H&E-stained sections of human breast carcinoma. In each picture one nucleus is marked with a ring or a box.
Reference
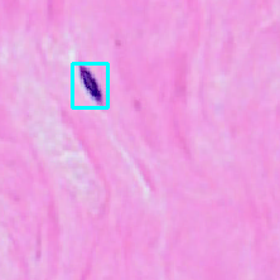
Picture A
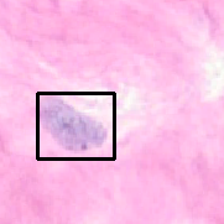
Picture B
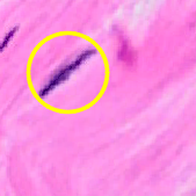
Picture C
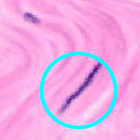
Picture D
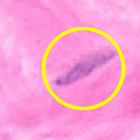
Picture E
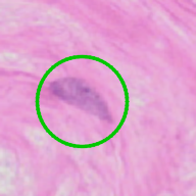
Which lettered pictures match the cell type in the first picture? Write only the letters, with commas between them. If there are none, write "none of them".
A, B, C, D, E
